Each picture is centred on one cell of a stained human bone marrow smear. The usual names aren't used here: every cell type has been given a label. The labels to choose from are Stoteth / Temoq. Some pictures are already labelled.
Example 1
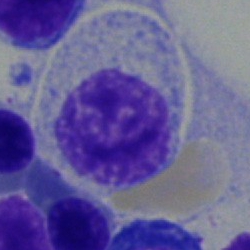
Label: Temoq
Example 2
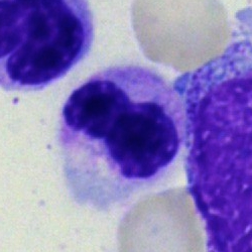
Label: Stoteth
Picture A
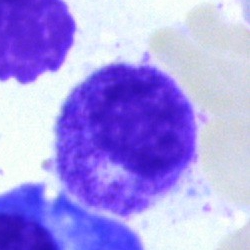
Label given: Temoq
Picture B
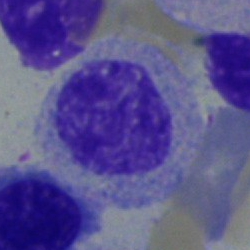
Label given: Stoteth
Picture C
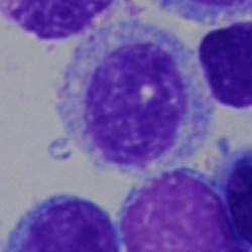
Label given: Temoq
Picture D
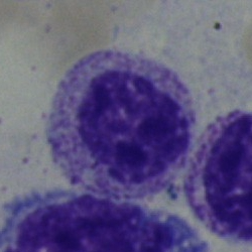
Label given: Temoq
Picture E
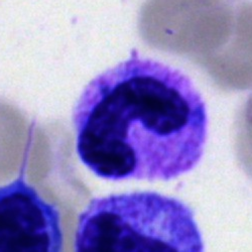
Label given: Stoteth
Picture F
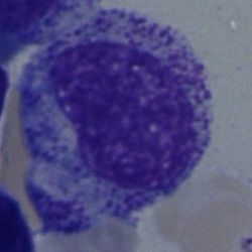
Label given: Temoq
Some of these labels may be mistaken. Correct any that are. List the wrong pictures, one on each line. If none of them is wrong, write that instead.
B: change Stoteth to Temoq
